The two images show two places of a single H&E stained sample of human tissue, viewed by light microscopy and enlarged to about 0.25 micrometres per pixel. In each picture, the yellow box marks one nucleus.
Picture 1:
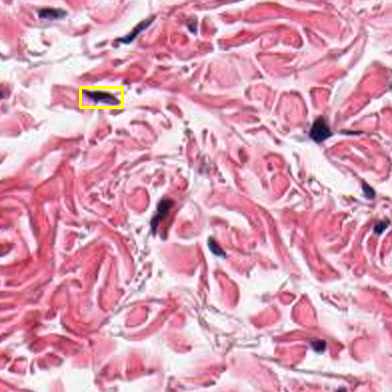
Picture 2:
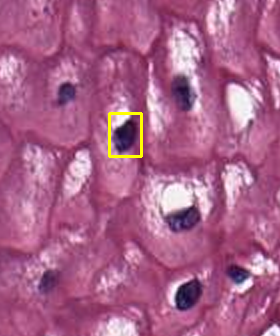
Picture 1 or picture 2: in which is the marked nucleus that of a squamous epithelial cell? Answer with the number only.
2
